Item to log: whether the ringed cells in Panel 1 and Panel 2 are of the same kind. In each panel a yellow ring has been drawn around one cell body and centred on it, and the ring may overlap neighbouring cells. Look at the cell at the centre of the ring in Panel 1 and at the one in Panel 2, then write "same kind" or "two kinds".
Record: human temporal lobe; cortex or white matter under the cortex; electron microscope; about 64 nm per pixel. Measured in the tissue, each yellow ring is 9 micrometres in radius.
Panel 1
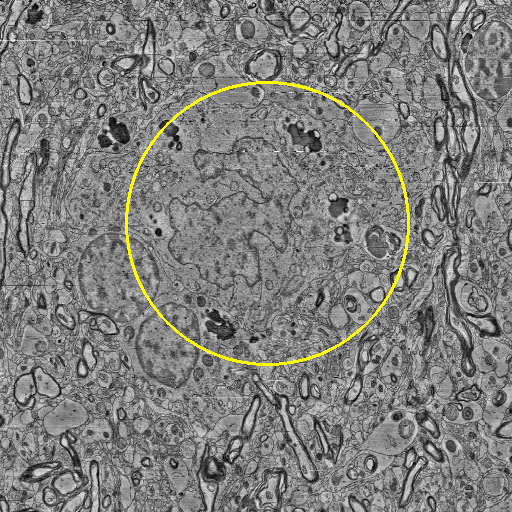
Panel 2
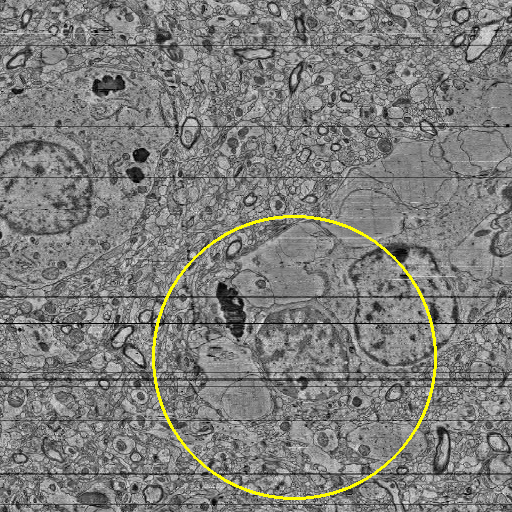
two kinds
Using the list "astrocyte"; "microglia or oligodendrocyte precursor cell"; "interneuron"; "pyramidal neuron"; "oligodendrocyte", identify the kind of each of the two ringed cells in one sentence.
The first is a pyramidal neuron and the second is an oligodendrocyte.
